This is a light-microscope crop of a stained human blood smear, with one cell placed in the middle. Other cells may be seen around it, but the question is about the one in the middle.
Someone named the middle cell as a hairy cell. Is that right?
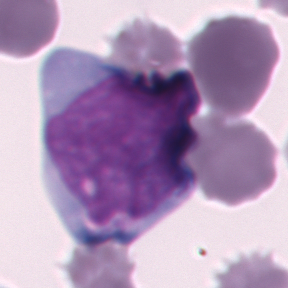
no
